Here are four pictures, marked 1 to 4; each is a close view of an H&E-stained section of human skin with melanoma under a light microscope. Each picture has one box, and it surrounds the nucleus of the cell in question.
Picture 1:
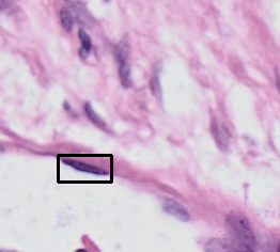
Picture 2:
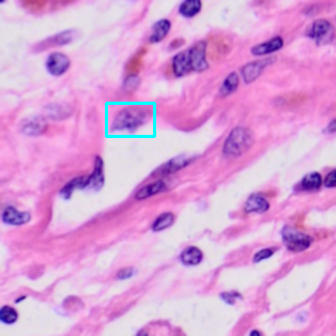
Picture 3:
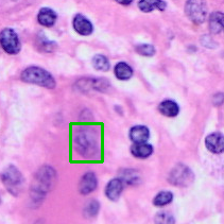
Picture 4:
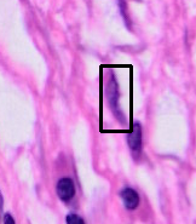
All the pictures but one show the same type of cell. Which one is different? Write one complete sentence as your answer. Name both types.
All pictures except 4 show endothelial cells; picture 4 shows a “fibroblast or myofibroblast”.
